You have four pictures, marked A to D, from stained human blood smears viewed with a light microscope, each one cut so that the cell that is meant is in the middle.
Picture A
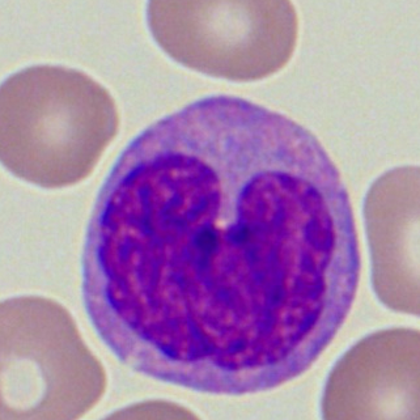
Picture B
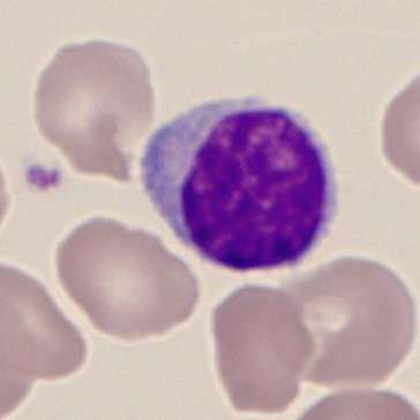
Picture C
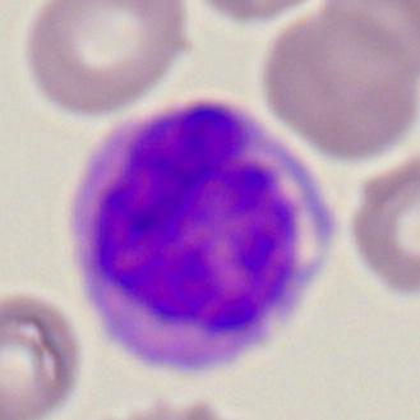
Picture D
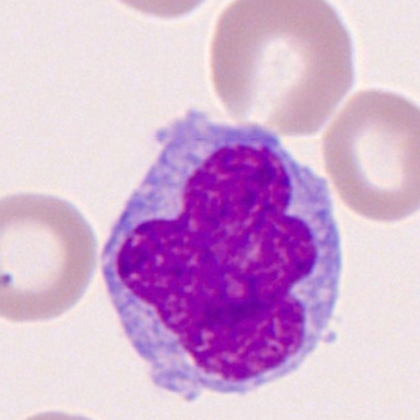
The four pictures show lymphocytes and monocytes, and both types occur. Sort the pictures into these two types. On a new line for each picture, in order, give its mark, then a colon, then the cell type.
A: monocyte
B: lymphocyte
C: monocyte
D: monocyte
